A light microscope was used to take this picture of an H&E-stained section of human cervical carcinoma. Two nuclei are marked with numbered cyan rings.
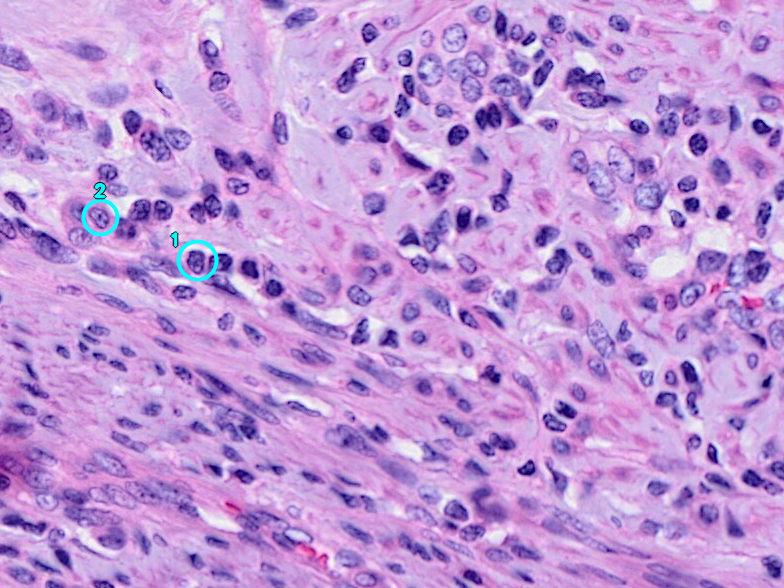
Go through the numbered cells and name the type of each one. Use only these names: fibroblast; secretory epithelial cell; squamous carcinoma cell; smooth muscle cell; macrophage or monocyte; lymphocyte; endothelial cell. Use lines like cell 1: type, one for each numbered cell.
cell 1: lymphocyte
cell 2: endothelial cell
